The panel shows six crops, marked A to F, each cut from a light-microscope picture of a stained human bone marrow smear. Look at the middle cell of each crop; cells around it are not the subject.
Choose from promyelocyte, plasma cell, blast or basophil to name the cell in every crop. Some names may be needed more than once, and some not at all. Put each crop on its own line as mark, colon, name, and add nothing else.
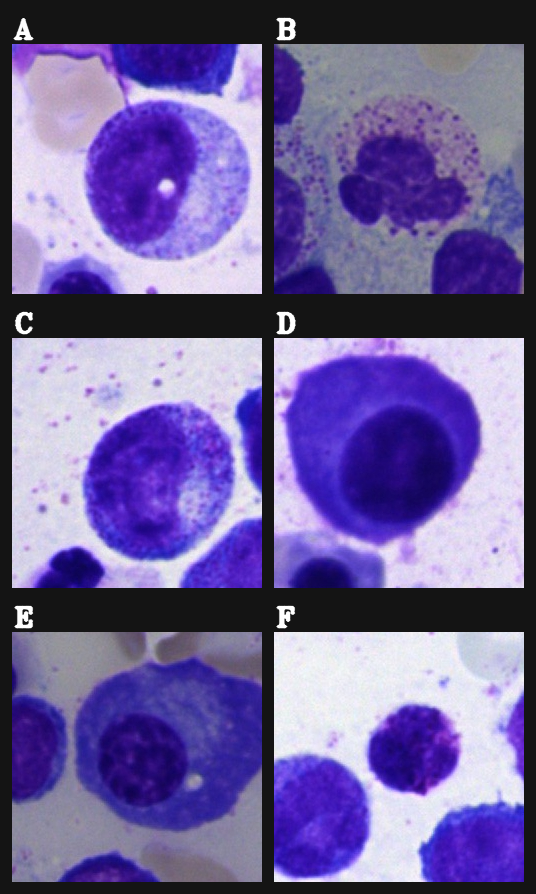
A: promyelocyte
B: basophil
C: promyelocyte
D: plasma cell
E: plasma cell
F: basophil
